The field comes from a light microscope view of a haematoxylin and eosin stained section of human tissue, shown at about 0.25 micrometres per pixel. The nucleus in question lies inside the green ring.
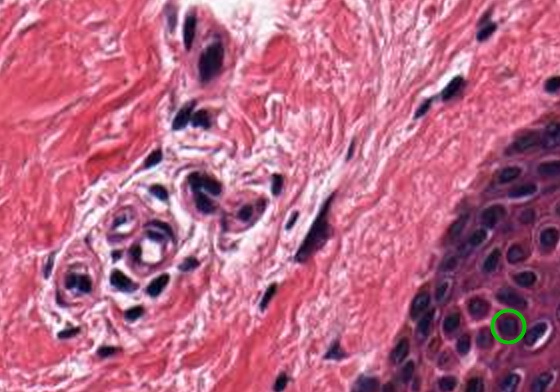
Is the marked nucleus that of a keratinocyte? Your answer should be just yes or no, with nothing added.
yes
